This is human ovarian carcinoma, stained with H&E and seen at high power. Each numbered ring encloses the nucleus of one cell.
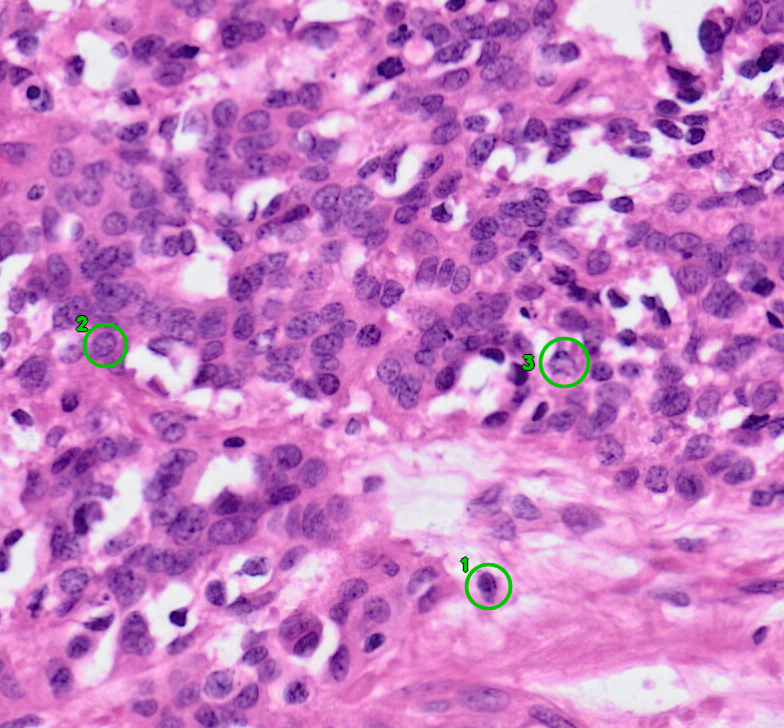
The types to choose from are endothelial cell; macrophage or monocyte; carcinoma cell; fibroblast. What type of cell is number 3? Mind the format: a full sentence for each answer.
The nucleus labeled 3 belongs to a macrophage or monocyte.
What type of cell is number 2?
Cell 2 in the field is a carcinoma cell.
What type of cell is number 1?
The cell referenced by the number 1 is a macrophage or monocyte in this field.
